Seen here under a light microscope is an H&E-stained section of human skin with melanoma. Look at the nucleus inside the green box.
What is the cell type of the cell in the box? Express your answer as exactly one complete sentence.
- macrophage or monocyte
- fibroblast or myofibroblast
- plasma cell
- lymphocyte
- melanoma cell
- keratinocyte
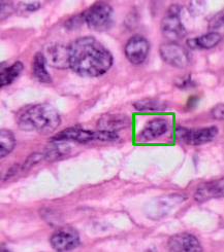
Assigned to a cell type, the cell in the box is a melanoma cell.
